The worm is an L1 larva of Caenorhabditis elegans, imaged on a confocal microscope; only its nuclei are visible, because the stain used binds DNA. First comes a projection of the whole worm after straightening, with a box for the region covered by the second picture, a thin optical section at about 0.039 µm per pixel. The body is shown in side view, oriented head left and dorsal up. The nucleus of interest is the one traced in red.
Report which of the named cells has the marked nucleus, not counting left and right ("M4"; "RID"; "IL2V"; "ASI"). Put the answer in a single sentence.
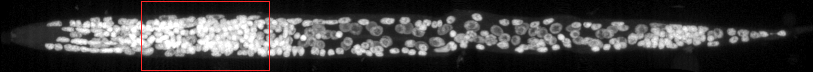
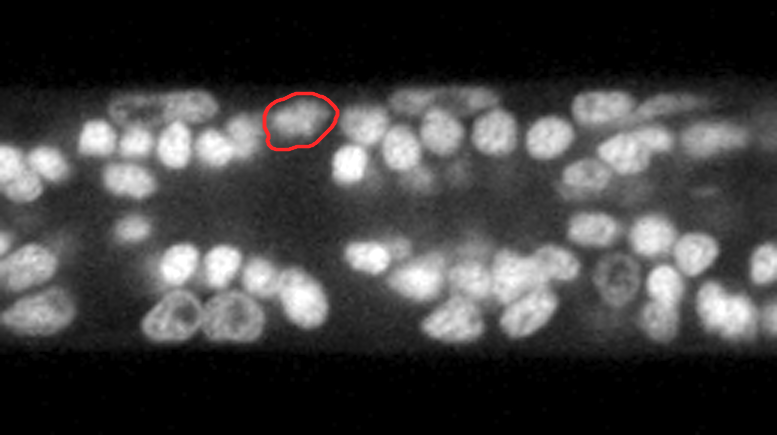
It is the nucleus of RID, a neuron.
